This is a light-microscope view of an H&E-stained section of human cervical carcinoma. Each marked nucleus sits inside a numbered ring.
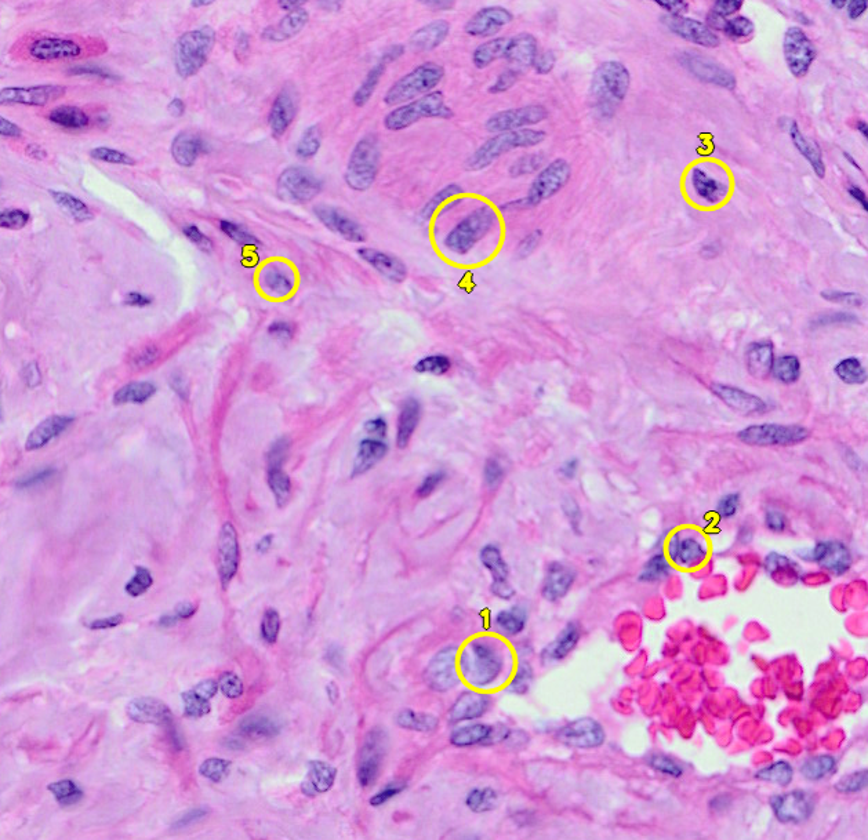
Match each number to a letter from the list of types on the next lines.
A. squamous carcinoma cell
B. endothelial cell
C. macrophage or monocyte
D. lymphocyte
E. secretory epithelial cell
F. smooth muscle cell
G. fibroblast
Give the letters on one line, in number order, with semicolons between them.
B; B; D; F; F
